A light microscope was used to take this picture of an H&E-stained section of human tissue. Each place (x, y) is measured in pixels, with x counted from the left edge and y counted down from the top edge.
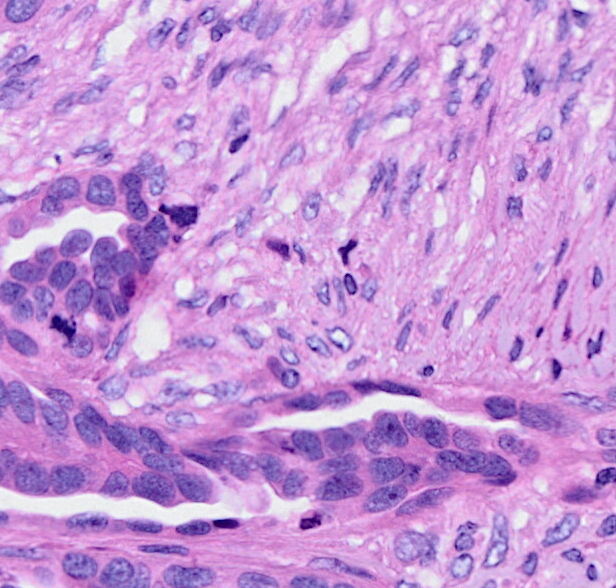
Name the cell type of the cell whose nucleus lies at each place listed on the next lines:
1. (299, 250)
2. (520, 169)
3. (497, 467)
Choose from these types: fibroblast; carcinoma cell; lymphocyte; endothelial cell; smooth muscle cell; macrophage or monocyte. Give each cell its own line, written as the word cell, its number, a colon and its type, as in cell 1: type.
cell 1: fibroblast
cell 2: fibroblast
cell 3: carcinoma cell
